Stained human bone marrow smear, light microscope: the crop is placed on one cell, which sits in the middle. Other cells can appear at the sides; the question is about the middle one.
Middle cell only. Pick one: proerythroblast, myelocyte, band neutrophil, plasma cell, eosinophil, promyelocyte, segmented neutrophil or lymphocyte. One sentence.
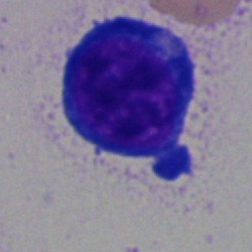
The cell the crop is centered on is a proerythroblast.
